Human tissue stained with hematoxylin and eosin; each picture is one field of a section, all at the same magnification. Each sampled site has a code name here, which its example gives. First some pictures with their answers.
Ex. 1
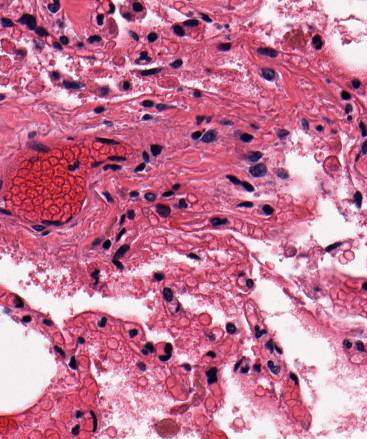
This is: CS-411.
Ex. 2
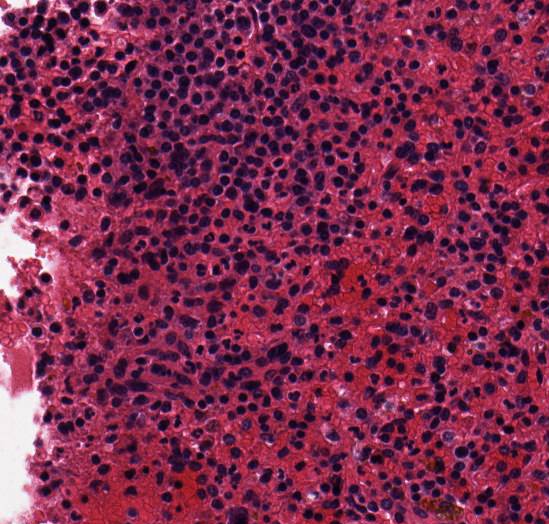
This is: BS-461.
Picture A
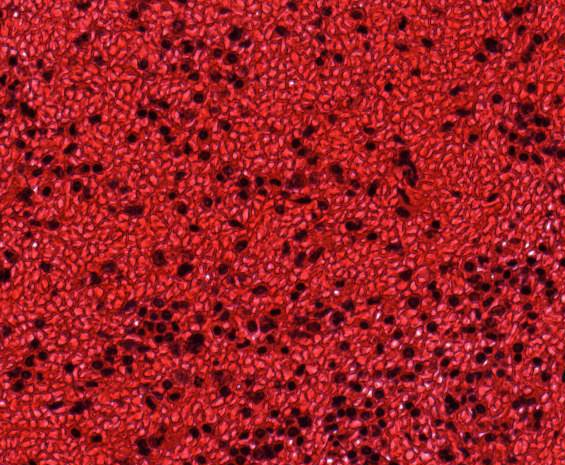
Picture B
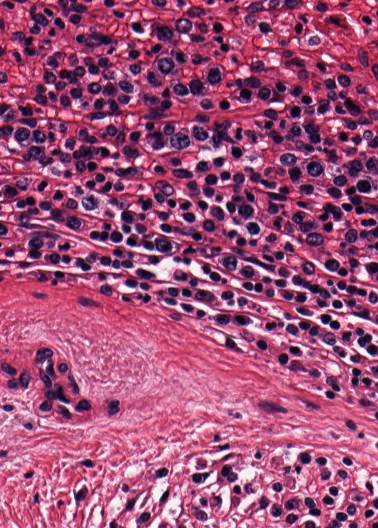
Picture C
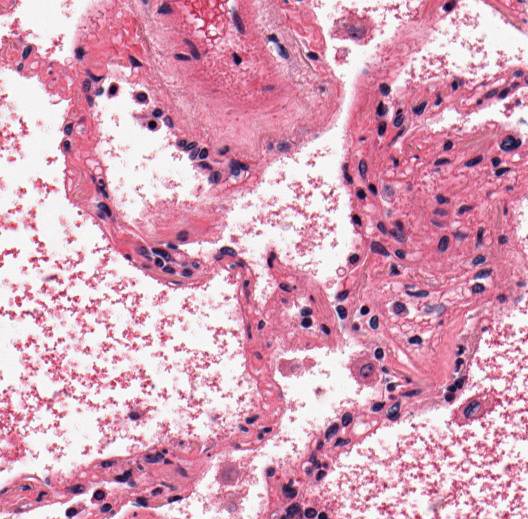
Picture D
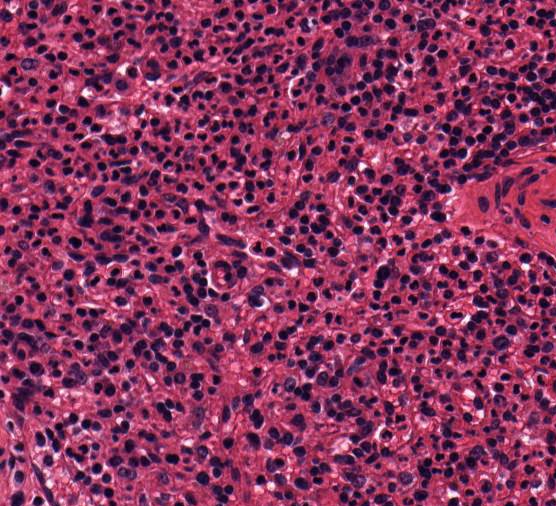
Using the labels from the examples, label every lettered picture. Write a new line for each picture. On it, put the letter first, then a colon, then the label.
A: BS-461.
B: BS-461.
C: CS-411.
D: BS-461.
